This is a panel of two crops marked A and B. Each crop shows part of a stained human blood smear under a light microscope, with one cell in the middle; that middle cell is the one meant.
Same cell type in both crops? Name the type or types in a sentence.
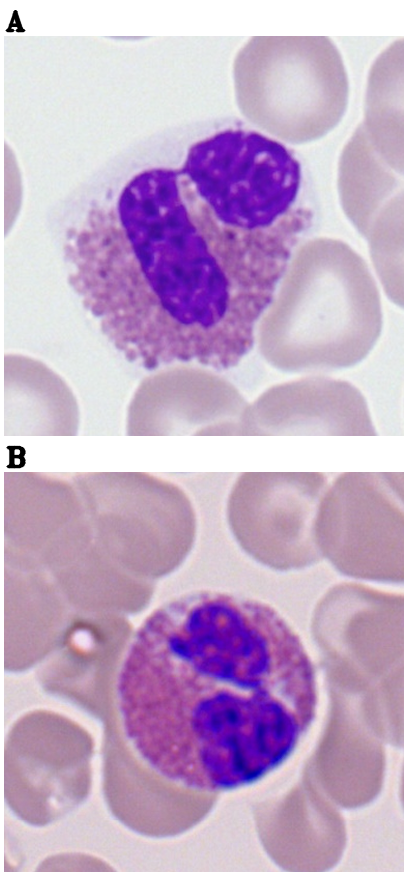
Yes, put down eosinophils for both crops.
